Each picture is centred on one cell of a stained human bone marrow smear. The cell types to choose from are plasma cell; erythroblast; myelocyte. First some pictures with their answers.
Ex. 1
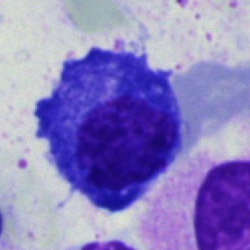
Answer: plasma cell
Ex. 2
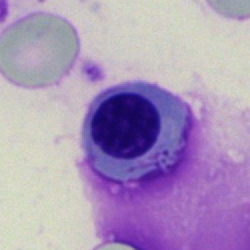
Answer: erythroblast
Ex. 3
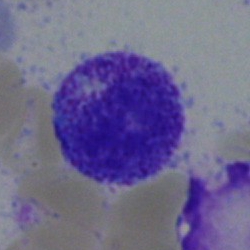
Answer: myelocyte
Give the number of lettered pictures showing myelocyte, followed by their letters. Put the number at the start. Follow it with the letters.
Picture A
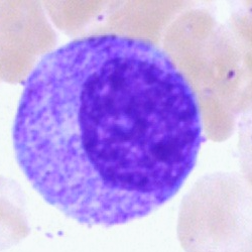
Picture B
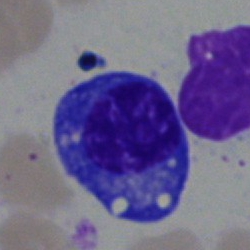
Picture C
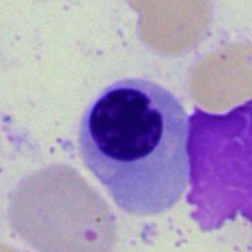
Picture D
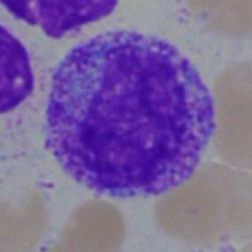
Count: 2 (A, D)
